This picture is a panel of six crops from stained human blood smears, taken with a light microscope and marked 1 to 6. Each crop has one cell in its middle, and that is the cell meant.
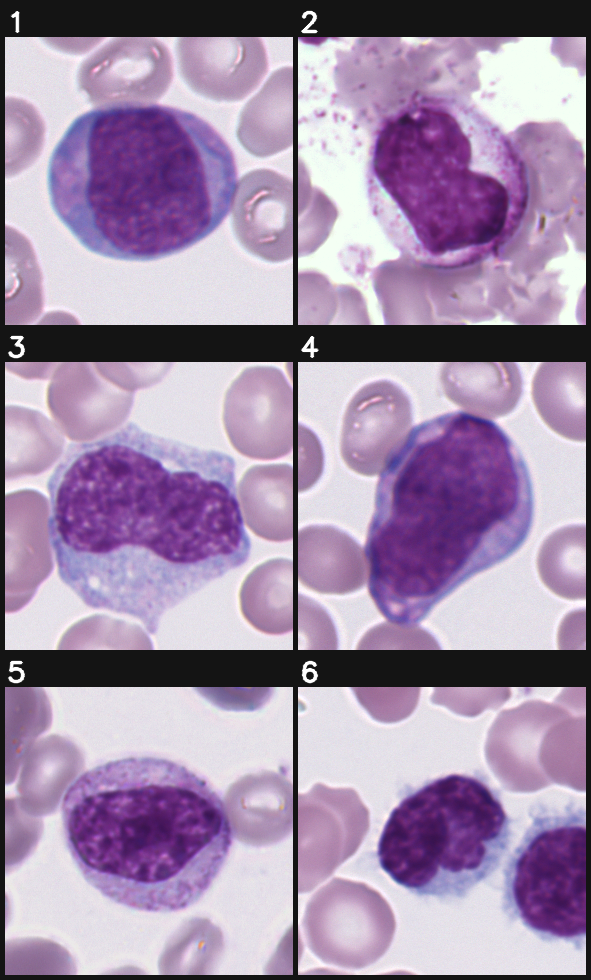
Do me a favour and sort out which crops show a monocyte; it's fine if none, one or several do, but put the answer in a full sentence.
Of the crops provided, crop 3 is the only one that contains a monocyte.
